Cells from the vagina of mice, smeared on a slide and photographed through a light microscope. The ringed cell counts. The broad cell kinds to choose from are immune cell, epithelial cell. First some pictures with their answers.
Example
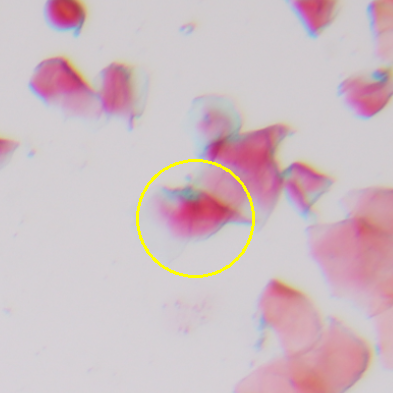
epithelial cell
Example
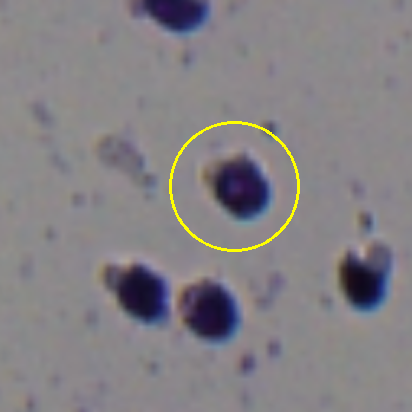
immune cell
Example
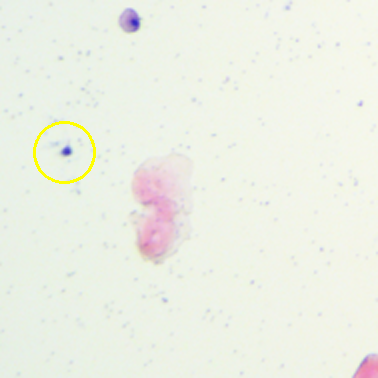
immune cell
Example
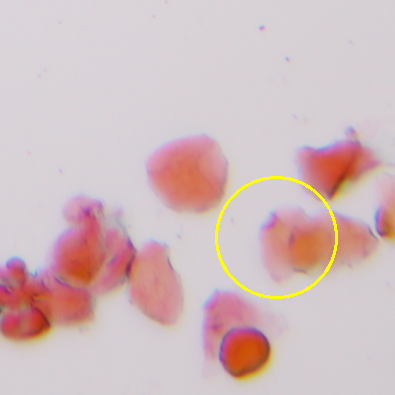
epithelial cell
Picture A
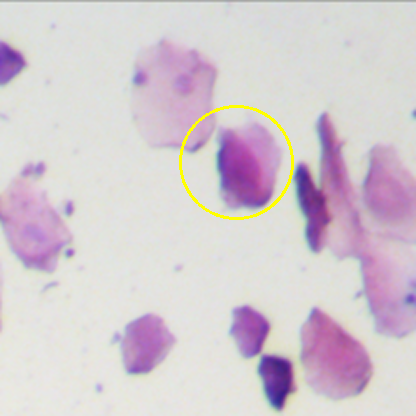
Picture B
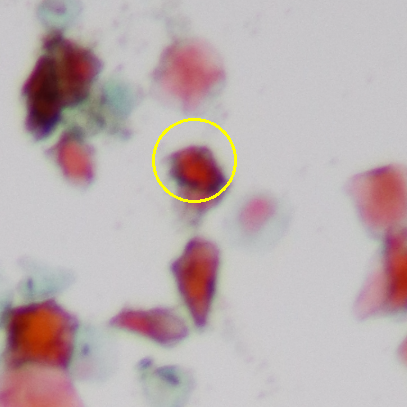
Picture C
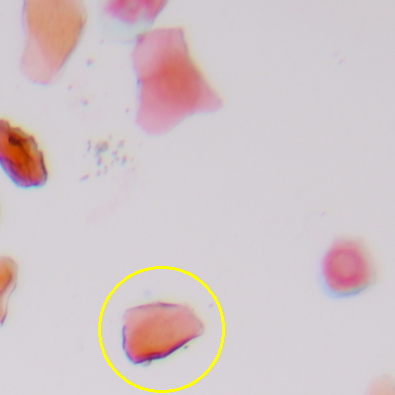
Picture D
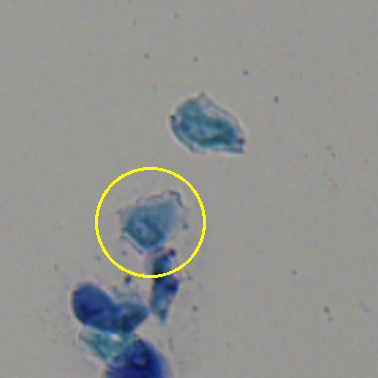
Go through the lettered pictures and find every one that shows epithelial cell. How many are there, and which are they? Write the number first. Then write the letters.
4: A, B, C, D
